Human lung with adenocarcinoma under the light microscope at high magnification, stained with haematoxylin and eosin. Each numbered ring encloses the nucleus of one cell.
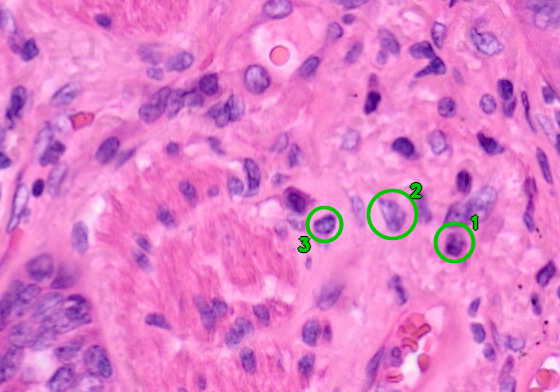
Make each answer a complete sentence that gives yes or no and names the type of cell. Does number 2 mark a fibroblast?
Yes, the cell marked by the number 2 is a fibroblast.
